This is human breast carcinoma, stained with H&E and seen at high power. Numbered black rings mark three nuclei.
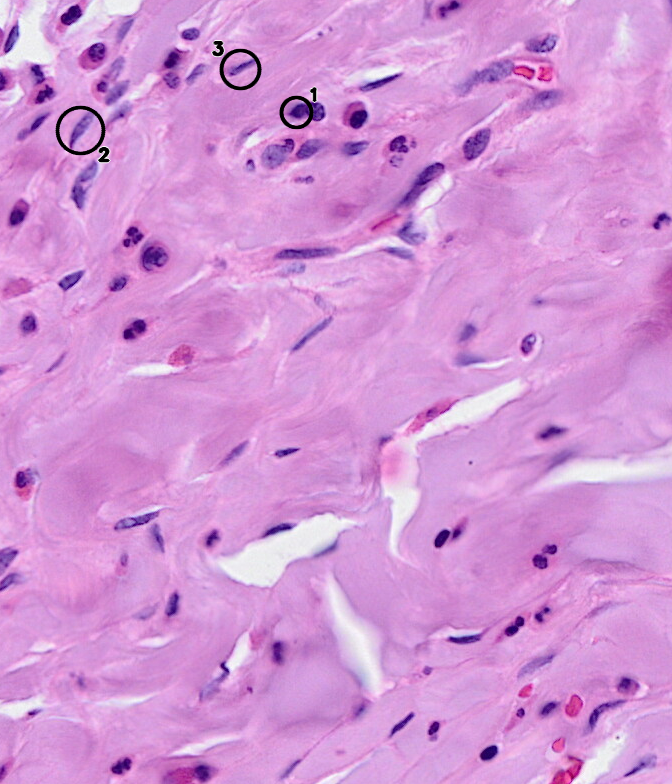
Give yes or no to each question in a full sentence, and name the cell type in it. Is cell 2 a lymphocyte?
No, the cell tagged 2 is a fibroblast, not a lymphocyte.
